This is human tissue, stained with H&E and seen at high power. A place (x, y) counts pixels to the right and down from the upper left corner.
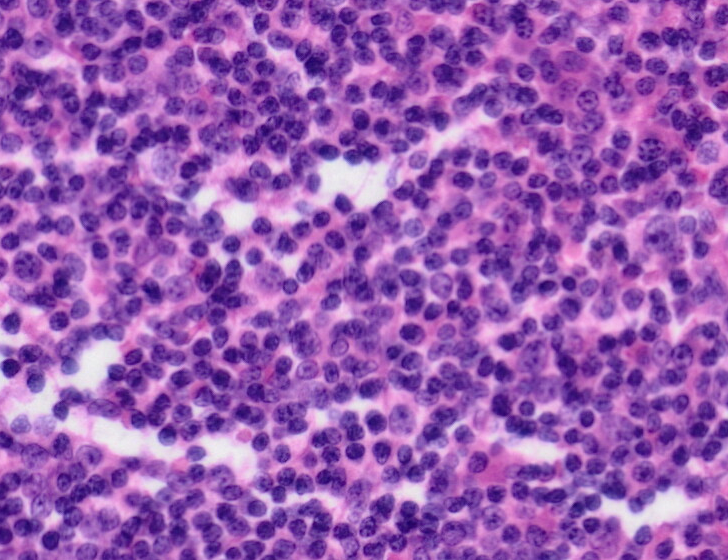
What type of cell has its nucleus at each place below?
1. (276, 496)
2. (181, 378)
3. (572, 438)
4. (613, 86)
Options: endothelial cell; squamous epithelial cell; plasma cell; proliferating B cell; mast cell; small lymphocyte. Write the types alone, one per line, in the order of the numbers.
small lymphocyte
small lymphocyte
small lymphocyte
plasma cell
